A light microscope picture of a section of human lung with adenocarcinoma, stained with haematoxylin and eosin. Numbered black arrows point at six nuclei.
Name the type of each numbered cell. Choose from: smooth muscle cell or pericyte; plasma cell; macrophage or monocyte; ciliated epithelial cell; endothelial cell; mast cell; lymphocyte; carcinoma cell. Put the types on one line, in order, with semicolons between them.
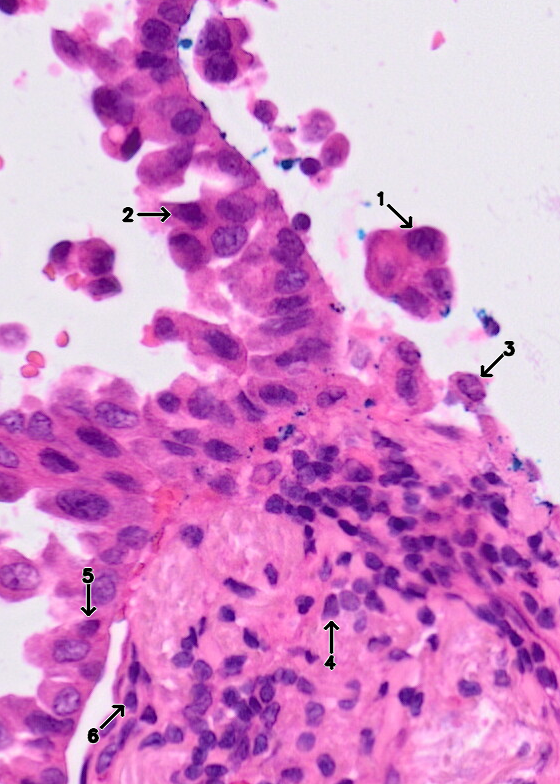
carcinoma cell; carcinoma cell; macrophage or monocyte; lymphocyte; carcinoma cell; lymphocyte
